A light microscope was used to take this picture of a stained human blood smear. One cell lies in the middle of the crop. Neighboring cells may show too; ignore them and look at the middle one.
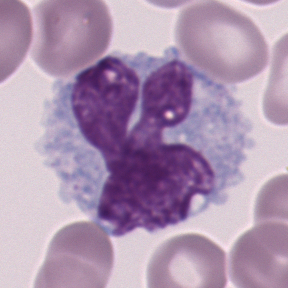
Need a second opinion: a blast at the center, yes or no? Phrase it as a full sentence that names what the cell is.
No, instead of a blast, the middle cell is a monocyte.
